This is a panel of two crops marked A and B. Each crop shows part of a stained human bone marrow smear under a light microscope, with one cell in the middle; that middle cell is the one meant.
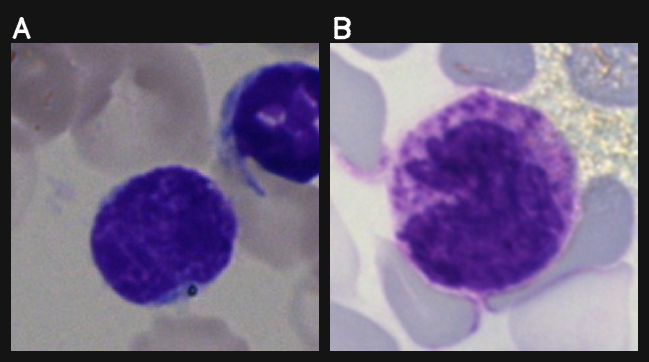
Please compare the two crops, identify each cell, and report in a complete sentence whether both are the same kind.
No, a lymphocyte is centred in crop A, and a basophil is centred in crop B.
